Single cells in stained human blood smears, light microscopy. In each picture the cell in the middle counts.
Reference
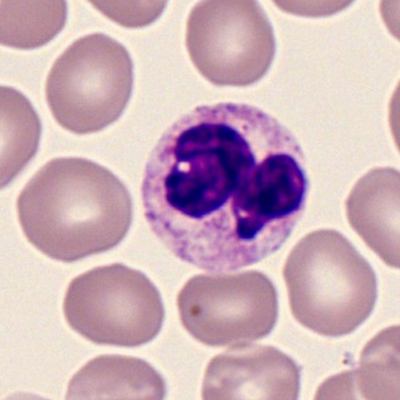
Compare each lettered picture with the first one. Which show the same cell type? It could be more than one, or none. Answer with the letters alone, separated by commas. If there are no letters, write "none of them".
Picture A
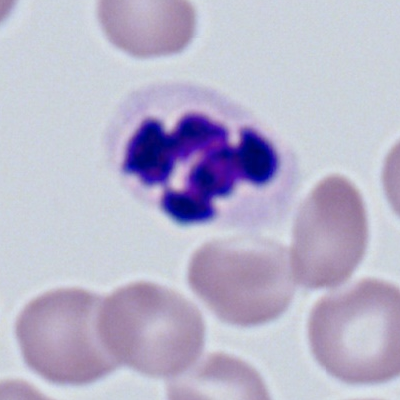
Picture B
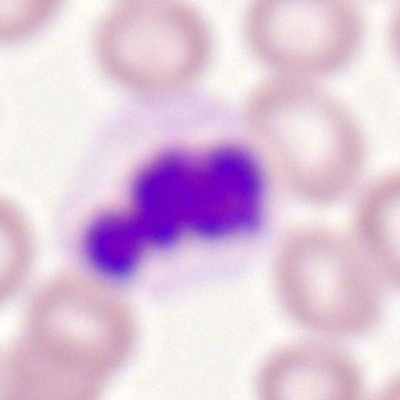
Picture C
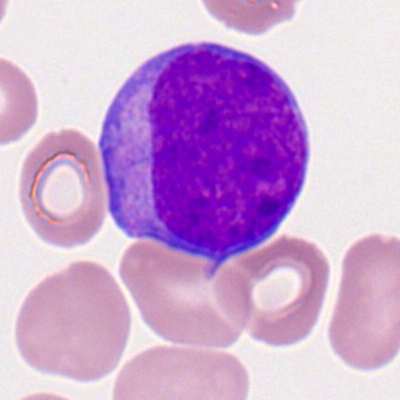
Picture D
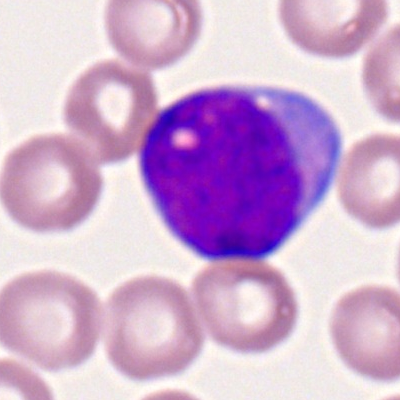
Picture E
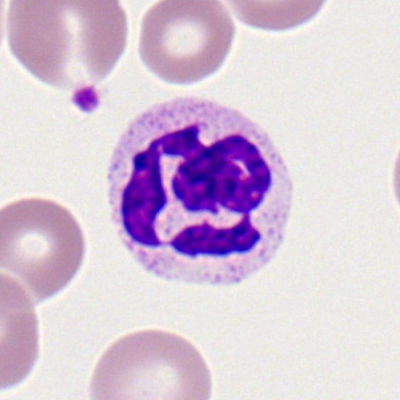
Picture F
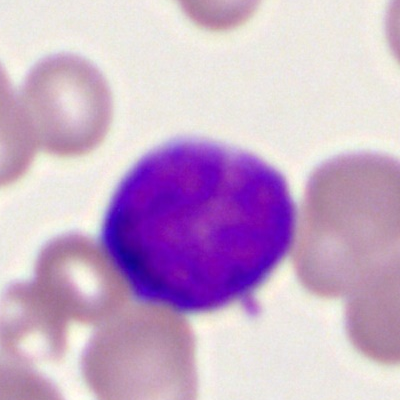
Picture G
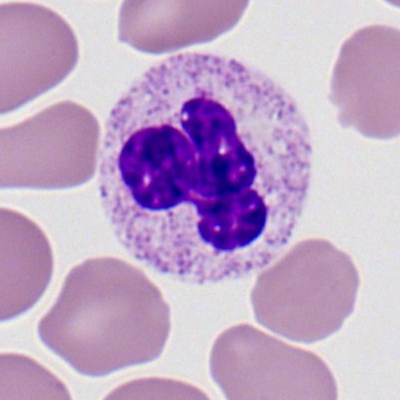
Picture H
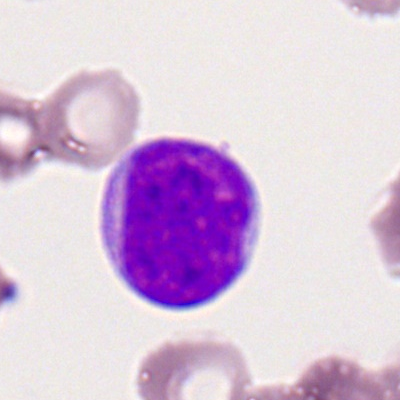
A, B, E, G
